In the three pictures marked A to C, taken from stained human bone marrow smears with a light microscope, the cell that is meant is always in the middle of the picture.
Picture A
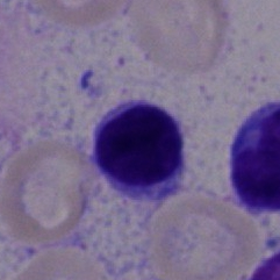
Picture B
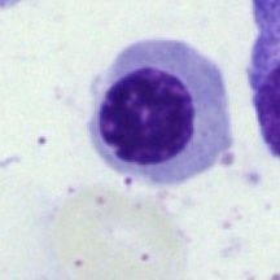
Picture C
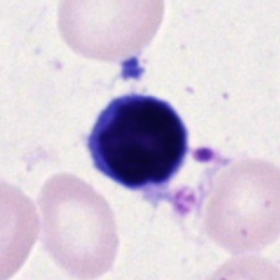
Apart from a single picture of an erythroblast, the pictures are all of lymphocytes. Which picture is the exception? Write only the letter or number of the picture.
B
